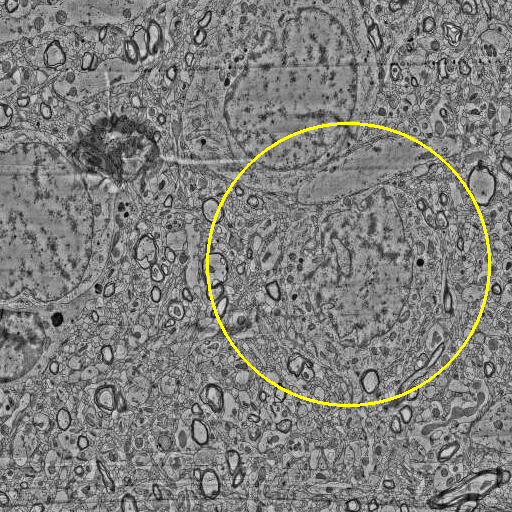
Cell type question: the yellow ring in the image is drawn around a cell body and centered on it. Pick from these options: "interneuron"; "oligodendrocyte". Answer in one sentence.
The ringed cell at the center is an interneuron.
